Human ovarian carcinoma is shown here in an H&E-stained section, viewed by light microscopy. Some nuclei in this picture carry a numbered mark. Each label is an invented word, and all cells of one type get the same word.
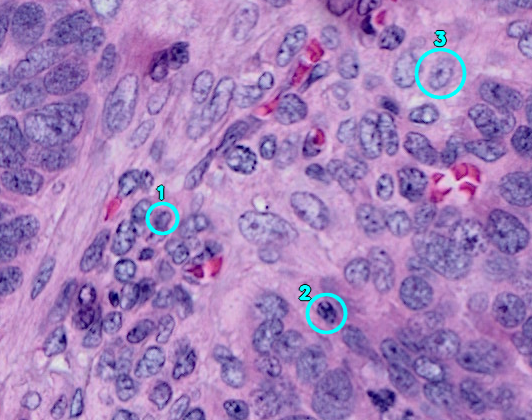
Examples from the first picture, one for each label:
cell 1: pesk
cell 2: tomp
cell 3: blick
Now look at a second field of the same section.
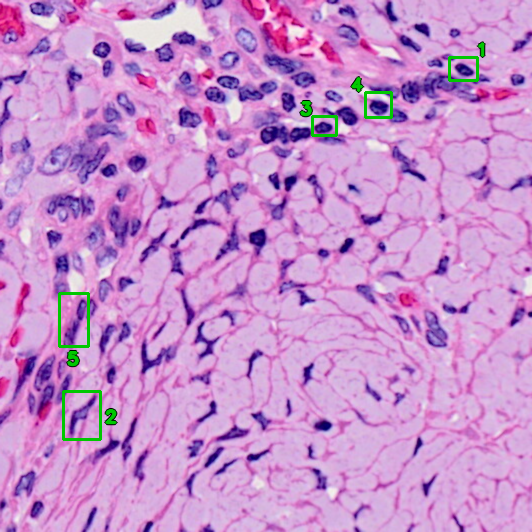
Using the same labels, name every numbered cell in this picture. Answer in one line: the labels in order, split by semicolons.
tomp; blick; tomp; tomp; pesk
